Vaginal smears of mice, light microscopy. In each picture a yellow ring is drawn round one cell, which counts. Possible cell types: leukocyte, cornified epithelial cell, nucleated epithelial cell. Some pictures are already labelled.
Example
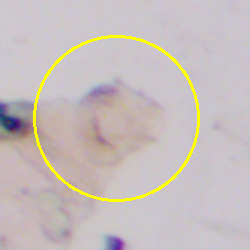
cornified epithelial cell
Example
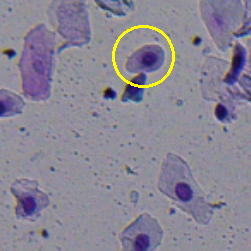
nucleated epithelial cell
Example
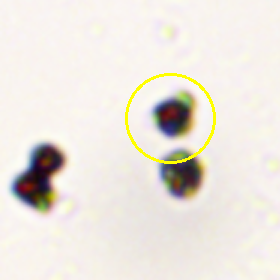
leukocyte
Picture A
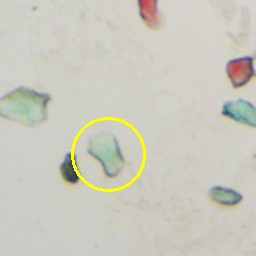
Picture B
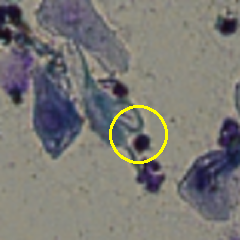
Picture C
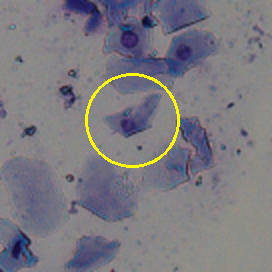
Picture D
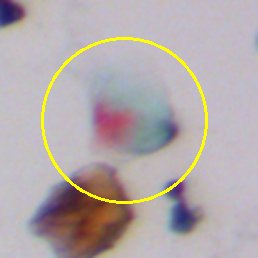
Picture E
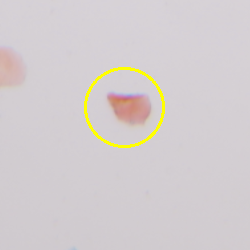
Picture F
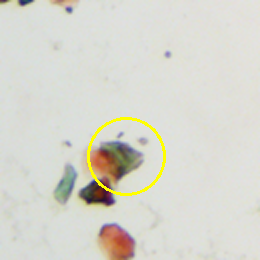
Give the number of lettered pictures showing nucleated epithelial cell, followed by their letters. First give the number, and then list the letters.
2, namely C, D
